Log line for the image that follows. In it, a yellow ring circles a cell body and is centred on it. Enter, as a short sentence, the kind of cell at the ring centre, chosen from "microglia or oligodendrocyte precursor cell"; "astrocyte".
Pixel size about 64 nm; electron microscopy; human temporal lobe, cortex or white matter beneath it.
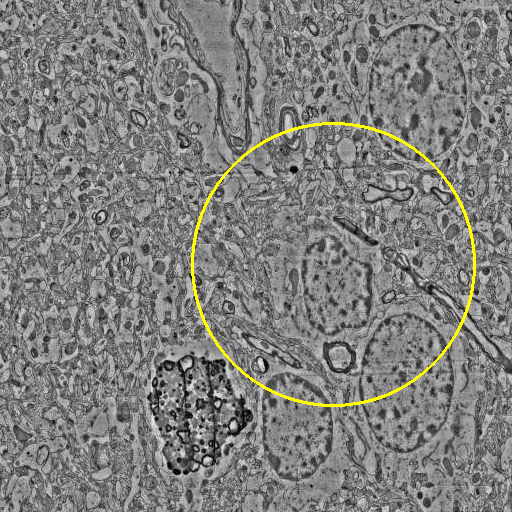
The ring centre is occupied by an astrocyte.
